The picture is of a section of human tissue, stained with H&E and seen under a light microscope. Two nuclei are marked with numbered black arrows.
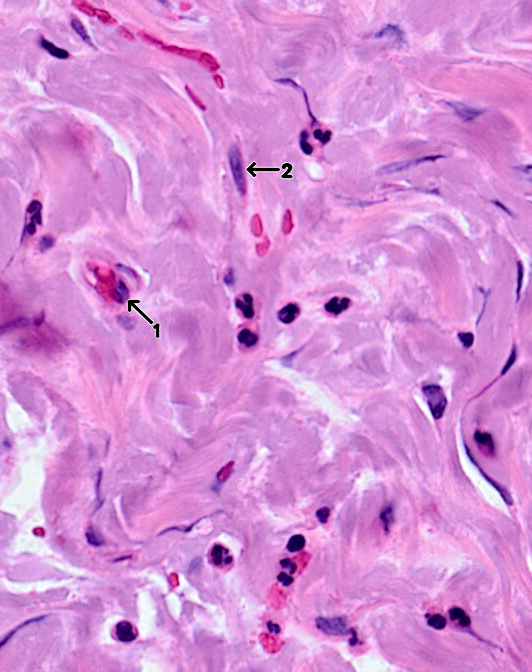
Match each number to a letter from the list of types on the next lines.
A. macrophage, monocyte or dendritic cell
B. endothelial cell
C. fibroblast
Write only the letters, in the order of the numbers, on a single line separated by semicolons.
B; C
